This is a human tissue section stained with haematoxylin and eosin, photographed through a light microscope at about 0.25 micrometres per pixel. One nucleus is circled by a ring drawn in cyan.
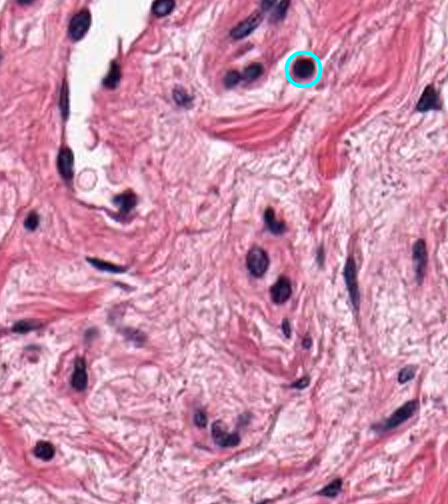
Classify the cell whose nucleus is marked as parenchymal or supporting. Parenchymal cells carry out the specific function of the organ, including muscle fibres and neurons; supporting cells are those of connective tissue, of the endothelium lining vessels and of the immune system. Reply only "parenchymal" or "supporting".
supporting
